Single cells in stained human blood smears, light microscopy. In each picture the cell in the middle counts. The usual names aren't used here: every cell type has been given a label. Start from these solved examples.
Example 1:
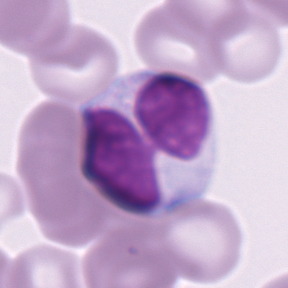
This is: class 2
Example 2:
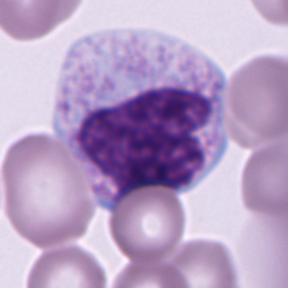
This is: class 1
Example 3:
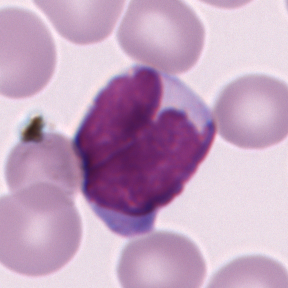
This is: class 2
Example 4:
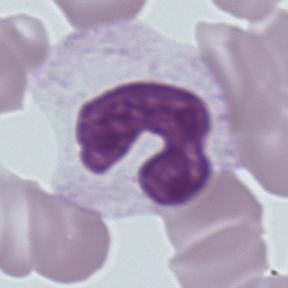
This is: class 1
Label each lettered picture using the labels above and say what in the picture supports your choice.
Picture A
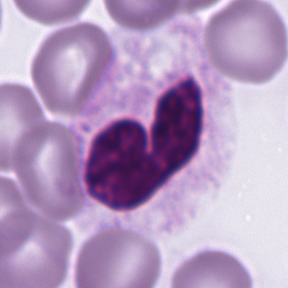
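class 1: The cytoplasm is plentiful, forming a wide zone around the nucleus.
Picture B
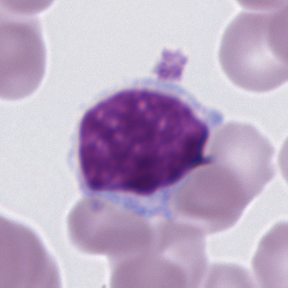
class 2: The cytoplasm forms only a narrow rim around the nucleus.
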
